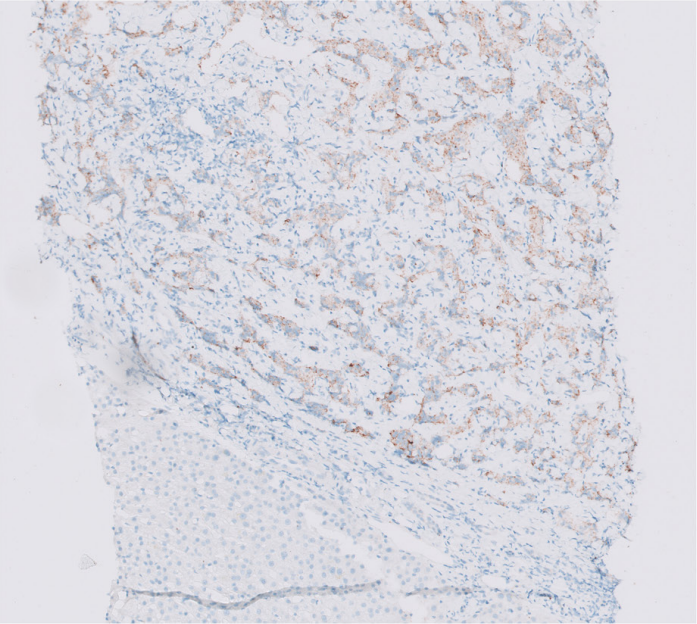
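A needle core of tissue in which nests and cords of tumor cells fill the upper two thirds. Many of these cells carry a brown, finely granular stain in their cytoplasm and along their borders, varying from faint to dark. Their nuclei, like all others, are counterstained blue. Between the cell groups runs a loose stroma with scattered blue, elongated nuclei. A band of denser stroma with streaming spindle nuclei crosses the lower part of the core, and below it lies a different tissue of larger, evenly spaced polygonal cells with pale cytoplasm and round nuclei, which takes up no brown stain.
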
